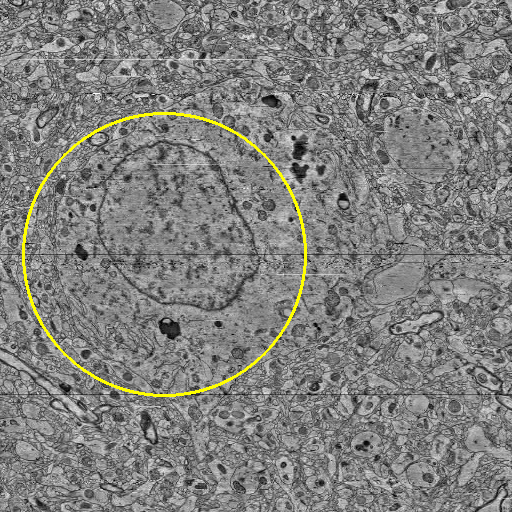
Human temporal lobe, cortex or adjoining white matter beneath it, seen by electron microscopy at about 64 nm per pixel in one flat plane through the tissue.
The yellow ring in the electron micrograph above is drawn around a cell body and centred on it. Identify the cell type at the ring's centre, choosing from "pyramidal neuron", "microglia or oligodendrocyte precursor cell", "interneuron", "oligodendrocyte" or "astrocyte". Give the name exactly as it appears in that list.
pyramidal neuron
